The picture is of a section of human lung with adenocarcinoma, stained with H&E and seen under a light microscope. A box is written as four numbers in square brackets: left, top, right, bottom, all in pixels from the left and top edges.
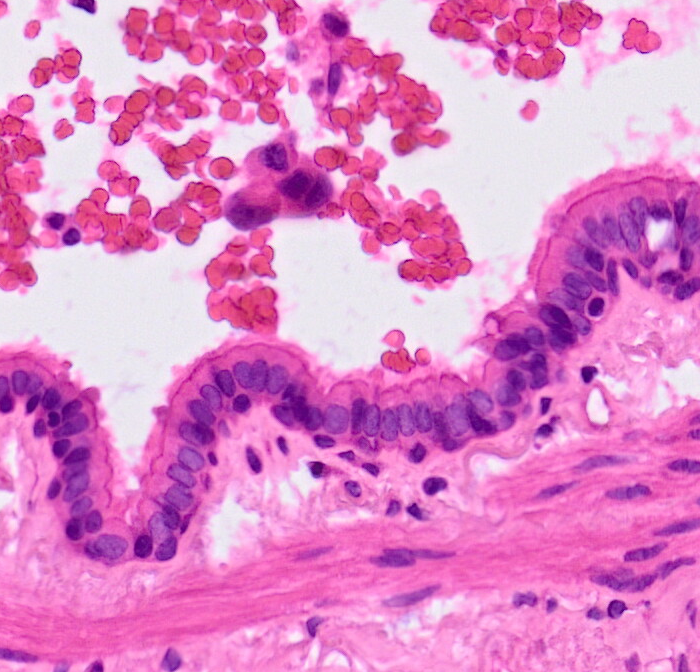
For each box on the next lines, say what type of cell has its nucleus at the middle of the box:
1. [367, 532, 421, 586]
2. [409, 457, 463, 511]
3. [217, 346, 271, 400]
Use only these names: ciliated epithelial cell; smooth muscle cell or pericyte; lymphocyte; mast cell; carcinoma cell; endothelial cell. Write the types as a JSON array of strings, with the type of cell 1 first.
["smooth muscle cell or pericyte", "lymphocyte", "ciliated epithelial cell"]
